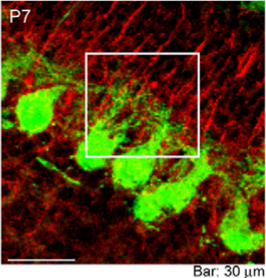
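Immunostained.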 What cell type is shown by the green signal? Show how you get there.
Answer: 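Purkinje cells. Large rounded green cell bodies lie along one layer. Green processes extend above the cell bodies.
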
